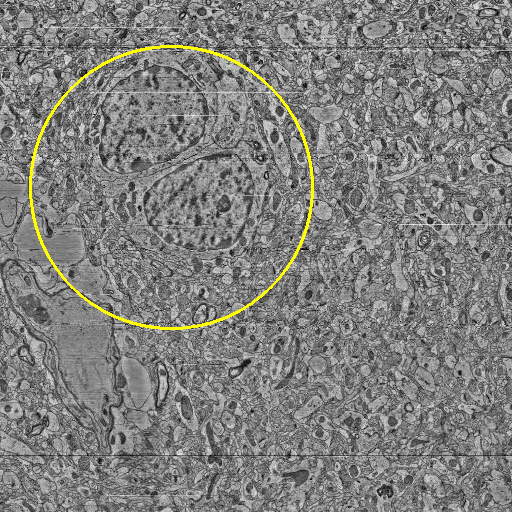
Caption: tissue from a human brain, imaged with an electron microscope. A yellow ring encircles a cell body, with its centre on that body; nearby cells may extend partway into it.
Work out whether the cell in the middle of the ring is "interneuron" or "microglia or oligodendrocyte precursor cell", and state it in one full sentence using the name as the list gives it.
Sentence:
In the picture, the cell that the yellow ring surrounds at its centre is a microglial cell or oligodendrocyte precursor cell.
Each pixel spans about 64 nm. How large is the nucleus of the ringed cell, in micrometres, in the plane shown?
In this plane, the nucleus of the cell at the centre of the ring measures about 7 by 6 micrometres.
